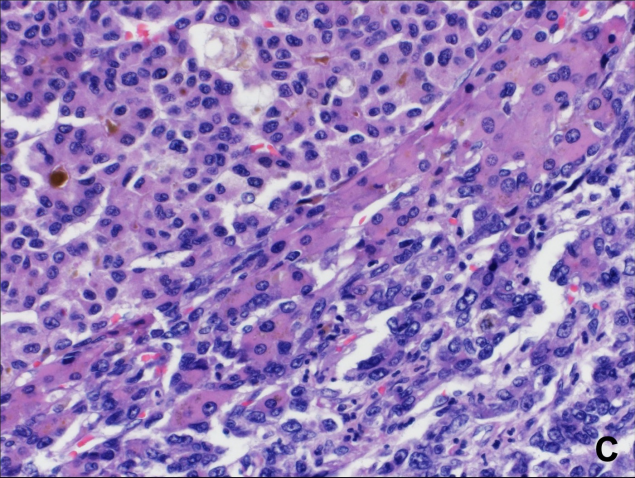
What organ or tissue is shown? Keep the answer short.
Hepatocellular carcinoma.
